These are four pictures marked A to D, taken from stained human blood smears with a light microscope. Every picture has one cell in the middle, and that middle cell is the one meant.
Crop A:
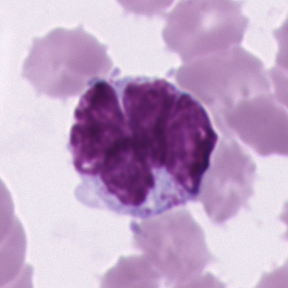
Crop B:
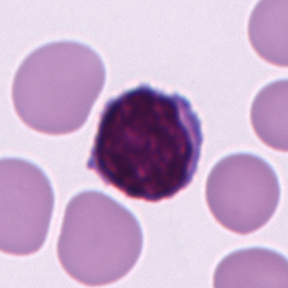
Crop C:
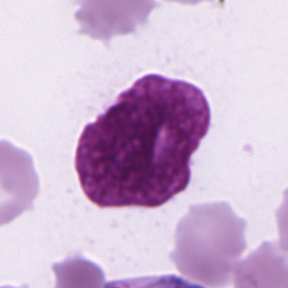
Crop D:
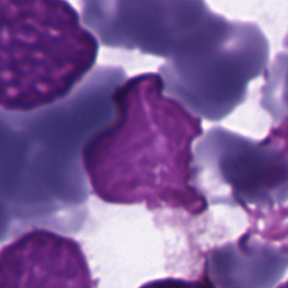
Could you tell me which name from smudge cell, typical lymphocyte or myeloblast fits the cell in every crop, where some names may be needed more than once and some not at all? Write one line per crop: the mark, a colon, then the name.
A: typical lymphocyte
B: typical lymphocyte
C: smudge cell
D: smudge cell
